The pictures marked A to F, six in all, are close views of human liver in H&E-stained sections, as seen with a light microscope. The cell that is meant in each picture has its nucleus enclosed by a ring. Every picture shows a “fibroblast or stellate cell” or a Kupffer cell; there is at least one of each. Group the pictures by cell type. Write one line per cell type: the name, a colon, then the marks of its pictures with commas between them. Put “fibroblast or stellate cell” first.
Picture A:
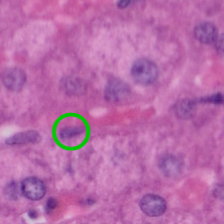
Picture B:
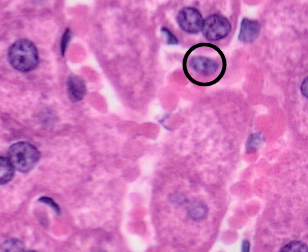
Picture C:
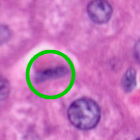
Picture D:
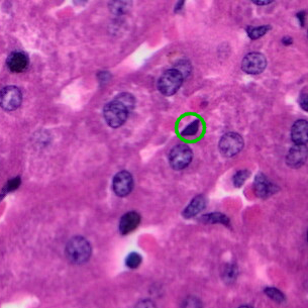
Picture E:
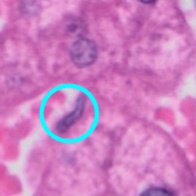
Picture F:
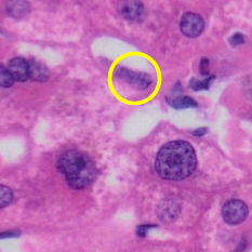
fibroblast or stellate cell: A, D
Kupffer cell: B, C, E, F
